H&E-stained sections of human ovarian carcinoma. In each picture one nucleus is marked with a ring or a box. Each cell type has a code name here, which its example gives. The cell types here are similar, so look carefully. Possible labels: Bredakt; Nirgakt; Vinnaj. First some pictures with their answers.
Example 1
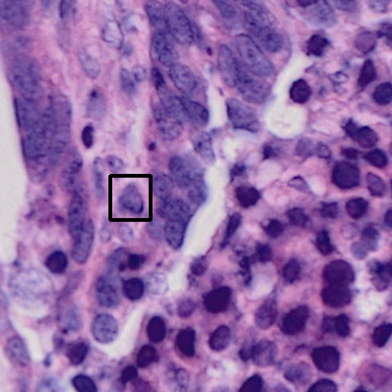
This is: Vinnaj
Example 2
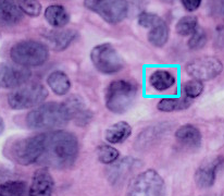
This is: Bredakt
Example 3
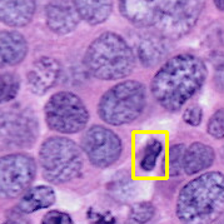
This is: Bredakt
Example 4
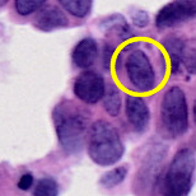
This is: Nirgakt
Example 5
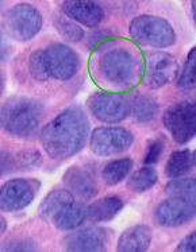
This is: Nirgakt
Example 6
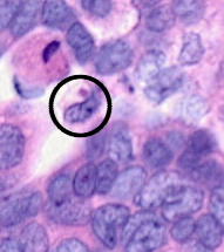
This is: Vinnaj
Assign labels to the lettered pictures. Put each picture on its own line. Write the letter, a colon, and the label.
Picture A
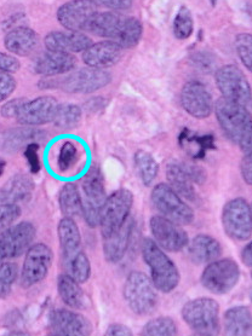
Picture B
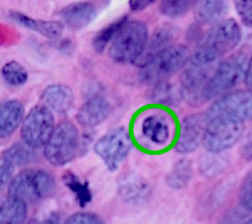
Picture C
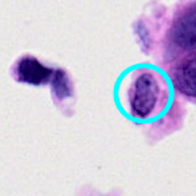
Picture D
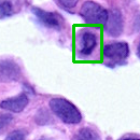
A: Bredakt
B: Bredakt
C: Vinnaj
D: Vinnaj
